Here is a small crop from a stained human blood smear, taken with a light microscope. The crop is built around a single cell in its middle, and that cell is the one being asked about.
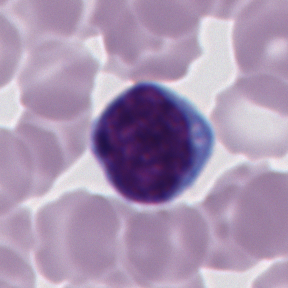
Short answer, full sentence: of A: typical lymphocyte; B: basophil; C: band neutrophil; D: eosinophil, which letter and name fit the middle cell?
The middle of the crop holds a typical lymphocyte, which points to option A.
